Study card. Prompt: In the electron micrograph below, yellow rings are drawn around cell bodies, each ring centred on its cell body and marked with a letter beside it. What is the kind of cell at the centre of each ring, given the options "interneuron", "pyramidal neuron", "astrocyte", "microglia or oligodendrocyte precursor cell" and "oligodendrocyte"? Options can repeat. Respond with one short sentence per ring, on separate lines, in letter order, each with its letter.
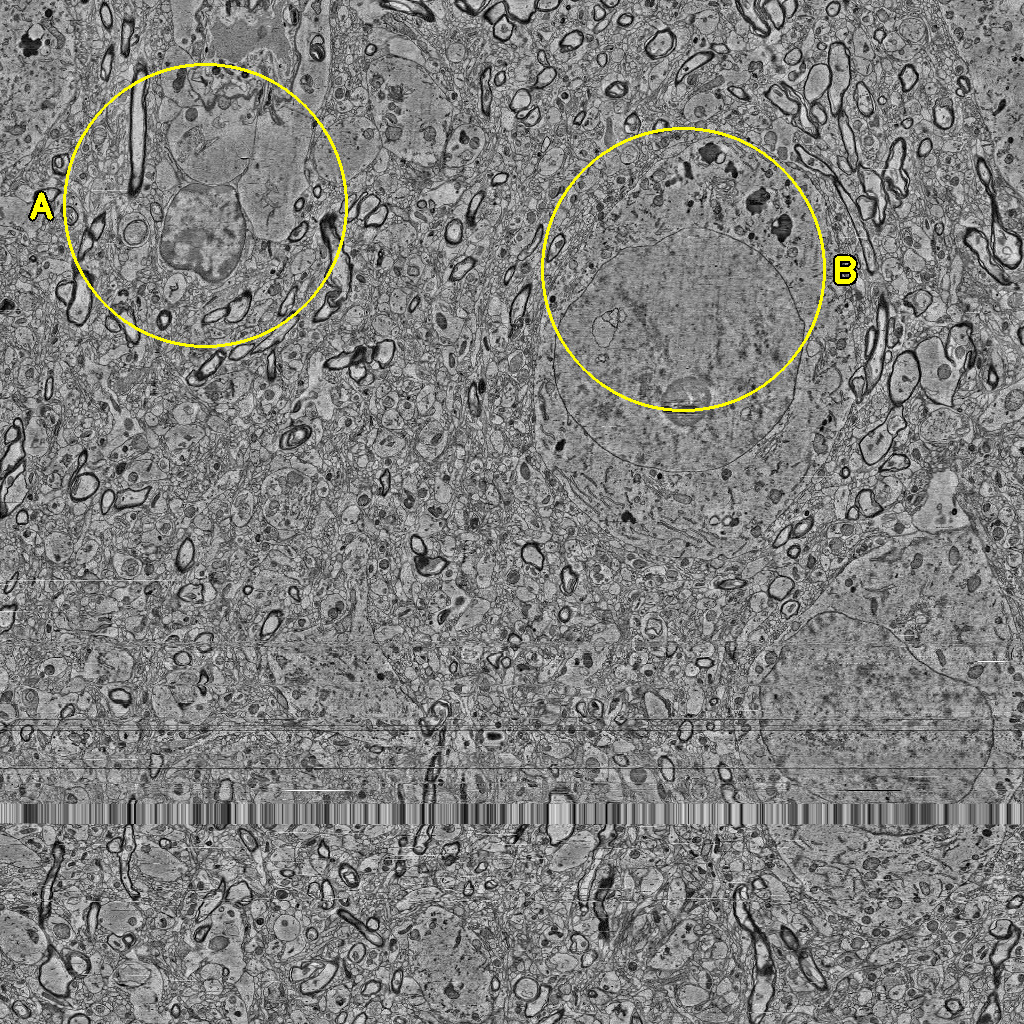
Ring A outlines a microglial cell or oligodendrocyte precursor cell.
Ring B outlines a pyramidal neuron.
